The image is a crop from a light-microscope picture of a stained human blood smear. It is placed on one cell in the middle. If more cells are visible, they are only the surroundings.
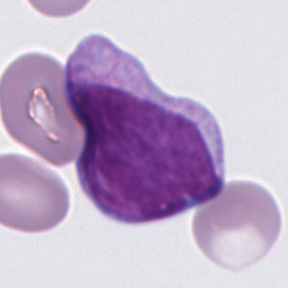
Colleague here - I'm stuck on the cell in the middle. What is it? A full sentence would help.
The cell nearest the centre of this crop is an atypical promyelocyte.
